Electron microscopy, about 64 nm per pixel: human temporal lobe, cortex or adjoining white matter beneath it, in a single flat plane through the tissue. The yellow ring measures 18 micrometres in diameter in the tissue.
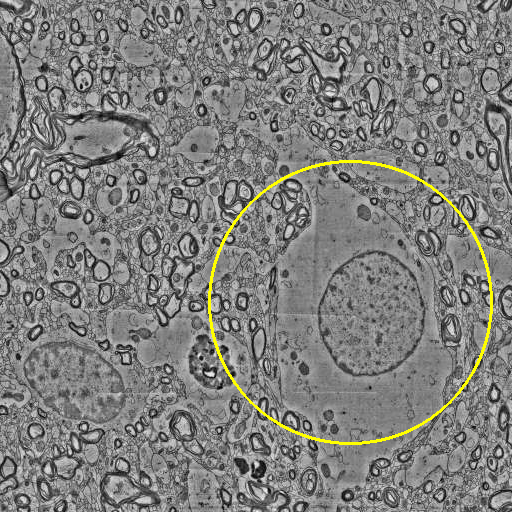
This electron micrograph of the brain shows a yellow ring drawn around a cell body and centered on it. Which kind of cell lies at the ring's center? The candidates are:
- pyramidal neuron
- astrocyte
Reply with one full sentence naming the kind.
The cell lying at the ring's center in this micrograph is an astrocyte.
